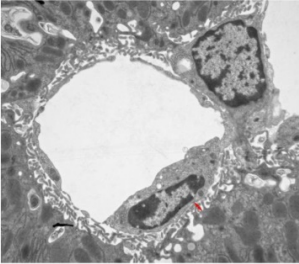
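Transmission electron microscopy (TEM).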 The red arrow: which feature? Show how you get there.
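The red arrow spans a thin gap between the lining of a pale empty lumen and the neighbouring cell with dense cytoplasm. That points to this answer: space of Disse.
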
